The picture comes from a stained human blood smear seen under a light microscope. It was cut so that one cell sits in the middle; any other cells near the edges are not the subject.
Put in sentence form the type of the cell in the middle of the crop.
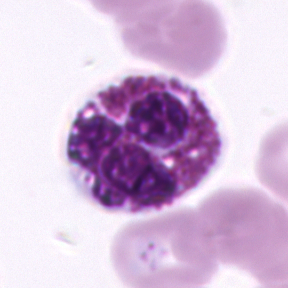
The cell under consideration, at the middle of the crop, is an eosinophil.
